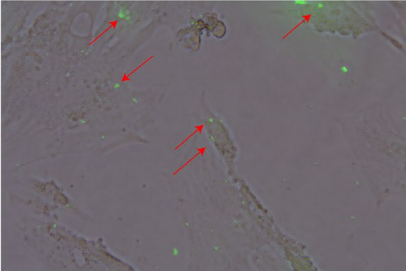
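The cells are flattened and elongated, some spindle-like, with greyish granular cytoplasm and faint outlines. Bright green dots of varying size lie over the cytoplasm of several cells, some of them forming small bright clusters. A small rounded, refractile clump sits near the top of the field, separate from the spread cells.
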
